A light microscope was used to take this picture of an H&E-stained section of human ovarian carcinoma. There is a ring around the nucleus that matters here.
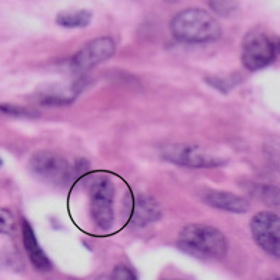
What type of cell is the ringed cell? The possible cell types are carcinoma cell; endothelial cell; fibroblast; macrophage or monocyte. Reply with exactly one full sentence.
As for its identity, the ringed cell is a macrophage or monocyte.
